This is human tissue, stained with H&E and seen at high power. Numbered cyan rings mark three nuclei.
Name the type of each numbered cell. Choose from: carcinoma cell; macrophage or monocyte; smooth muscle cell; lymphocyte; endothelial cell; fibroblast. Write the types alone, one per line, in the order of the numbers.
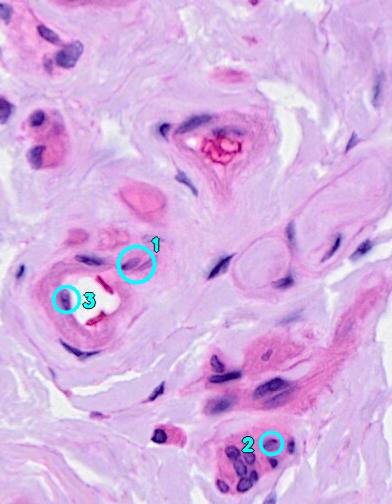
endothelial cell
smooth muscle cell
endothelial cell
